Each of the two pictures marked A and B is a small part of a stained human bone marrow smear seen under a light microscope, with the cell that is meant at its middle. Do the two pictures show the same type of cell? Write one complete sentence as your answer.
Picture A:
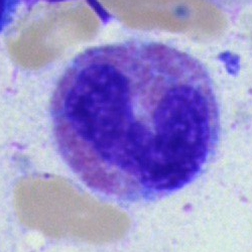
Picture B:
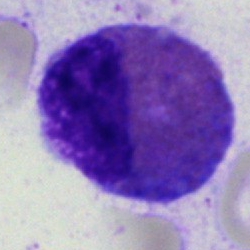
Yes, both cells are eosinophils.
